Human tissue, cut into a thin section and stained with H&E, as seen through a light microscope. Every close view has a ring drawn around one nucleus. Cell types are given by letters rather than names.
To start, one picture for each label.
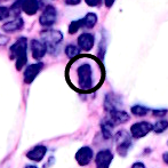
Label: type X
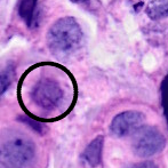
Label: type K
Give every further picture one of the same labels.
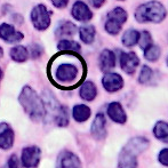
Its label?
type X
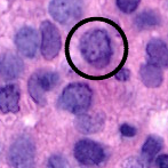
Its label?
type K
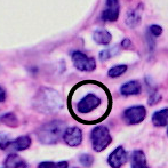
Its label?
type X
